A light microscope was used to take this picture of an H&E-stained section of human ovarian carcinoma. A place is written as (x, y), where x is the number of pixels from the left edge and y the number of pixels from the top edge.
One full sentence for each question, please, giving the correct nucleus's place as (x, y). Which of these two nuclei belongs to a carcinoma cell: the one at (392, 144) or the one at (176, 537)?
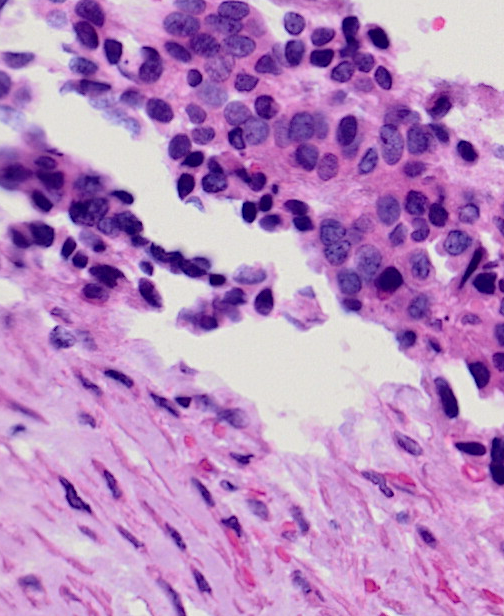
Lying within a carcinoma cell is the nucleus at (392, 144).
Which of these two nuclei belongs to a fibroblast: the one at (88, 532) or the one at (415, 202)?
The nucleus positioned at (88, 532) forms part of a fibroblast.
